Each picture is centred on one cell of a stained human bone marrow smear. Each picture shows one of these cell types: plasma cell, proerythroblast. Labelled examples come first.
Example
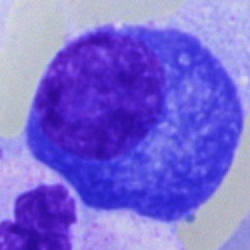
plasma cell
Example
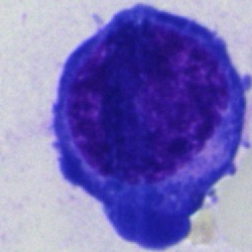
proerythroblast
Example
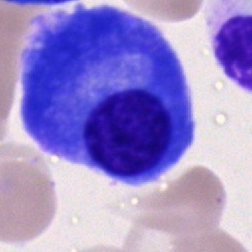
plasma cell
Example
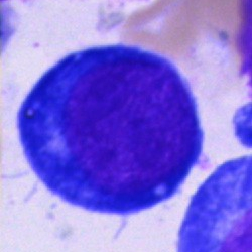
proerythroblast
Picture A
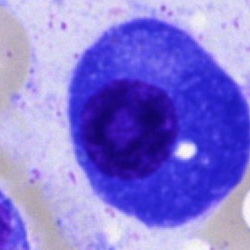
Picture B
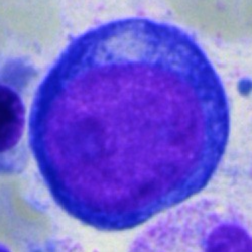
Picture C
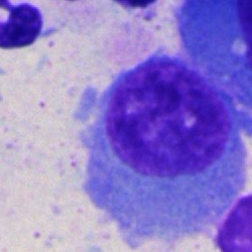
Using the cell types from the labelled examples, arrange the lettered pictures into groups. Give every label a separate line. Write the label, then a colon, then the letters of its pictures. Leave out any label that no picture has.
plasma cell: A, C
proerythroblast: B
